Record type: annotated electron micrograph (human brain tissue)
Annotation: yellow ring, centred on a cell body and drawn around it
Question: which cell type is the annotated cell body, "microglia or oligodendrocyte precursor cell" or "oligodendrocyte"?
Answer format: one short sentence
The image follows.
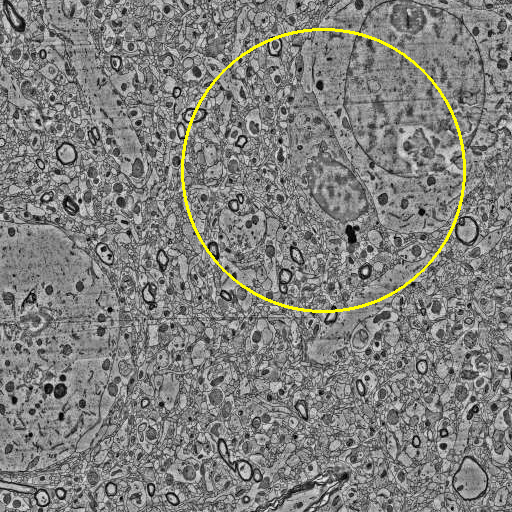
The annotated cell body is that of an oligodendrocyte.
